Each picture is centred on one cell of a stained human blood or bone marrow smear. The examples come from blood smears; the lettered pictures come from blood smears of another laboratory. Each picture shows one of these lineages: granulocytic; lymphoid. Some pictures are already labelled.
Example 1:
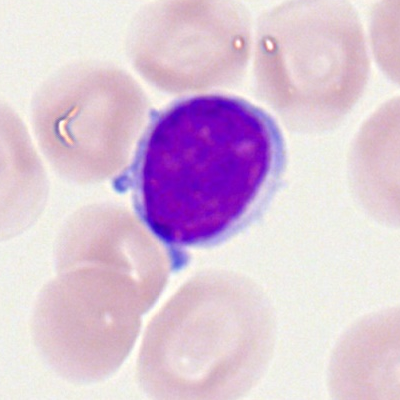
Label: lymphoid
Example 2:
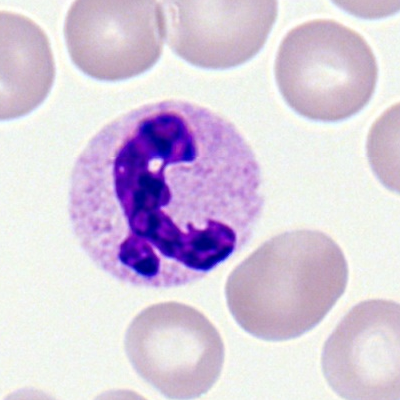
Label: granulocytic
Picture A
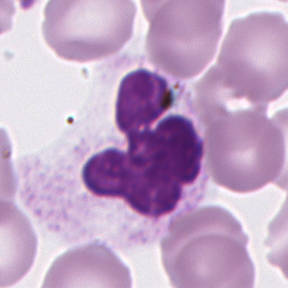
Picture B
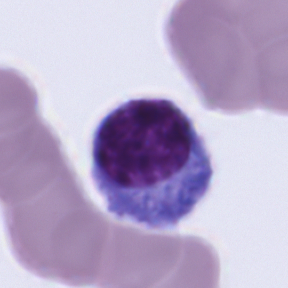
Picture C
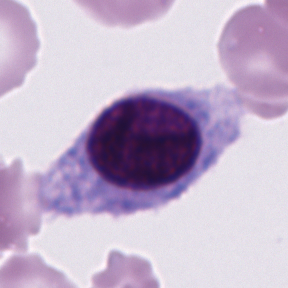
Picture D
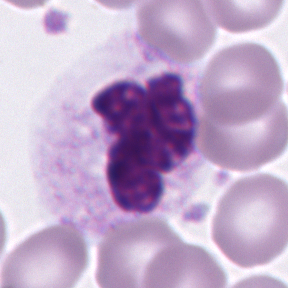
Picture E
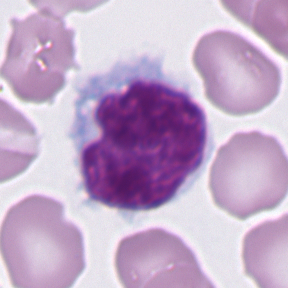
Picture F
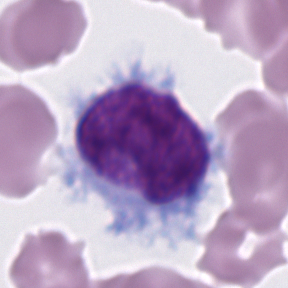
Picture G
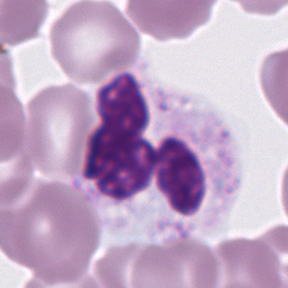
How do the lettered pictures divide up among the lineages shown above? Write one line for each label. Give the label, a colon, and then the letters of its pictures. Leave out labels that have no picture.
granulocytic: A, D, G
lymphoid: B, C, E, F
